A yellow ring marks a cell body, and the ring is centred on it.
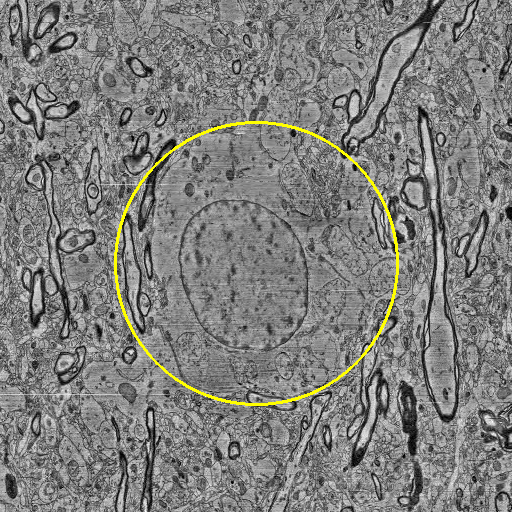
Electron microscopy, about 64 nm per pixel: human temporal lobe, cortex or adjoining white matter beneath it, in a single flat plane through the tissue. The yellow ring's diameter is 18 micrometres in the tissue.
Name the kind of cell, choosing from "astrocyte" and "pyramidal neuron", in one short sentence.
The marked cell body belongs to an astrocyte.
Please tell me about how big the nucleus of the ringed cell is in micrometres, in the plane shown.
The nucleus of the ringed cell is approximately 10 by 8 micrometres in this plane.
